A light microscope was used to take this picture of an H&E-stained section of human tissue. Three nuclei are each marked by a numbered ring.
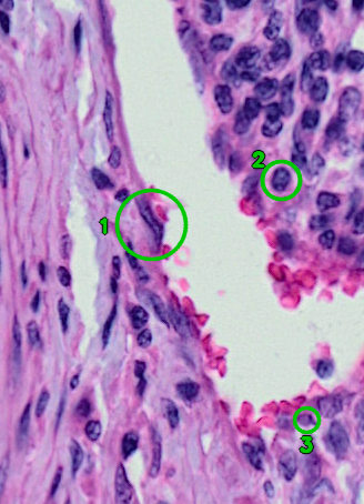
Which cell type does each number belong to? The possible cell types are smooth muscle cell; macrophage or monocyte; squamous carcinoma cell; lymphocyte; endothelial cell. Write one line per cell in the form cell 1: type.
cell 1: endothelial cell
cell 2: lymphocyte
cell 3: endothelial cell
